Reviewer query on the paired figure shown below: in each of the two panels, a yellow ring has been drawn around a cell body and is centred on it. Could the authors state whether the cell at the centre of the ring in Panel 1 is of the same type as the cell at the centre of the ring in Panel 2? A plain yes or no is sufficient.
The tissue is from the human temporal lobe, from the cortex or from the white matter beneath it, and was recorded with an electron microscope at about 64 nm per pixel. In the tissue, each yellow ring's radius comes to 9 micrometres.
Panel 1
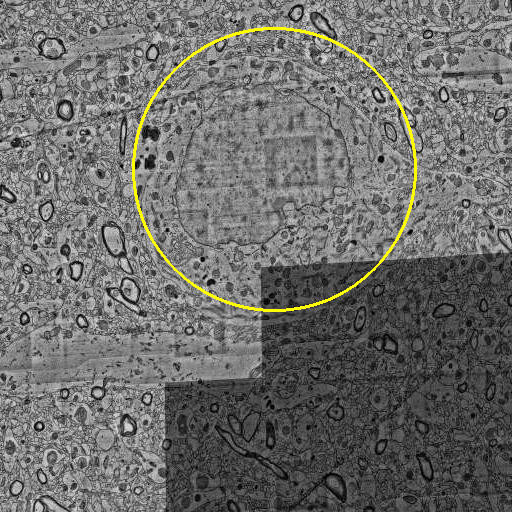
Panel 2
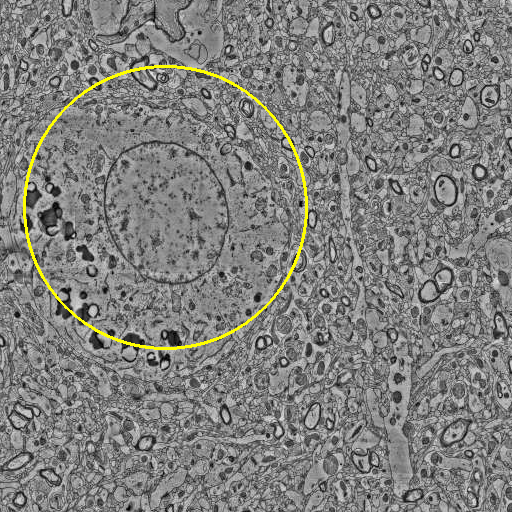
no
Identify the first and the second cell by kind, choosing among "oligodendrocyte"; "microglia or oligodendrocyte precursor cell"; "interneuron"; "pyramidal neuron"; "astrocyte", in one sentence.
The one in the first picture is an interneuron, while the one in the second is a pyramidal neuron.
